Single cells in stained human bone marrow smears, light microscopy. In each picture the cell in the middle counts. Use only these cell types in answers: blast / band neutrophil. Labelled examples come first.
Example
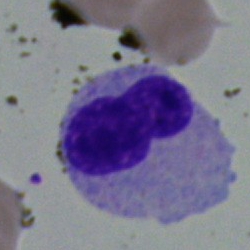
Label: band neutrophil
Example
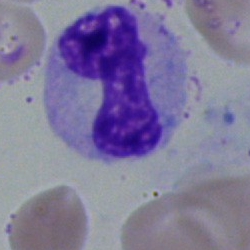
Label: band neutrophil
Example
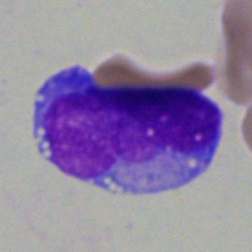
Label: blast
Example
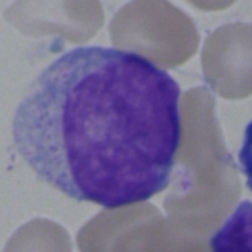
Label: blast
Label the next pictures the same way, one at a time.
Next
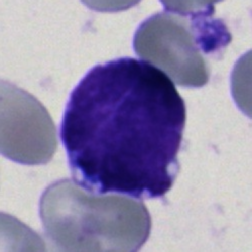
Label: blast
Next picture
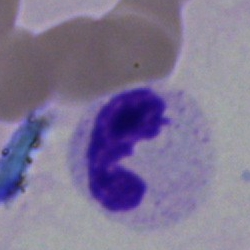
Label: band neutrophil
